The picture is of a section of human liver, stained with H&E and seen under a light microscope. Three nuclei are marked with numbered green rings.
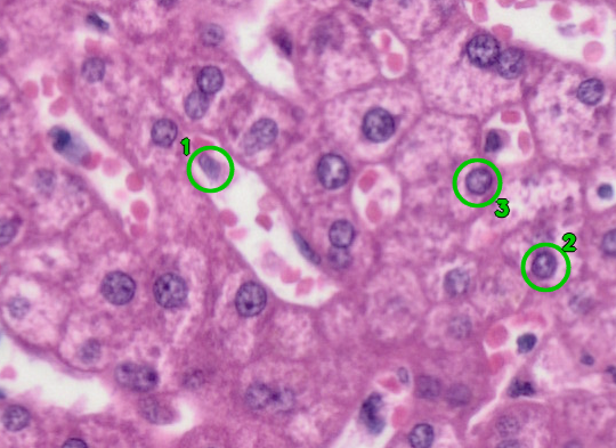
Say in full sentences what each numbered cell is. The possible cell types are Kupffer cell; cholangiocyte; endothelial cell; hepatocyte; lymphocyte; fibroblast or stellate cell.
Cell 1 is a Kupffer cell. Cells 2 and 3 are hepatocytes.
